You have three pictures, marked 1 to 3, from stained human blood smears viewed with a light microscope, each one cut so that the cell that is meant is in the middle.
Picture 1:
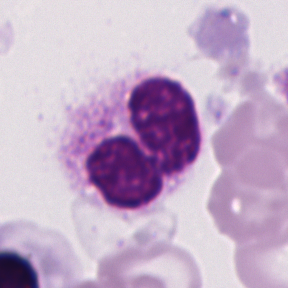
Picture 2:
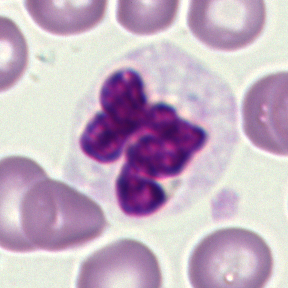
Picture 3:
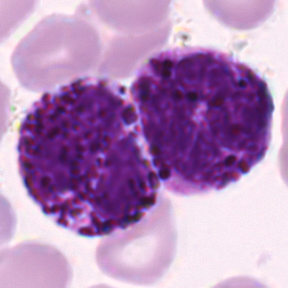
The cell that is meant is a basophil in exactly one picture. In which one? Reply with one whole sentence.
It is picture 3 that shows the basophil.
